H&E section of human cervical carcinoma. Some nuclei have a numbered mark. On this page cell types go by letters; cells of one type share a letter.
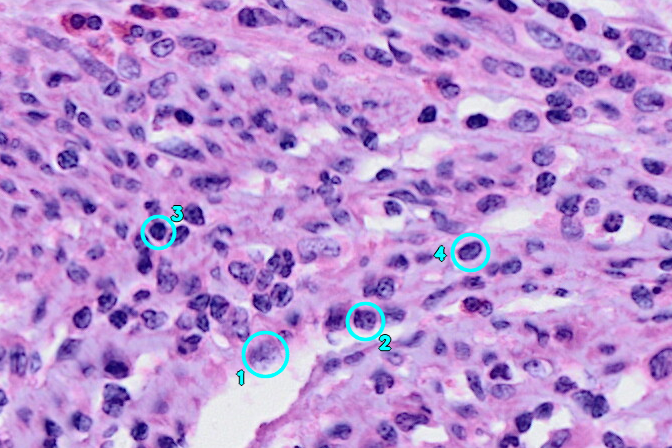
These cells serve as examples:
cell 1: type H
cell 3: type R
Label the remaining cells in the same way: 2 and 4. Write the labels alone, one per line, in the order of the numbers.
type R
type R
